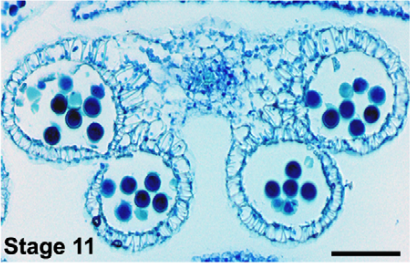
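This is a transverse section through an anther with four locules arranged around a central connective. Each locule holds several round pollen grains that stain densely dark blue and are of fairly uniform size. The locule wall is made of a layer of enlarged, pale cells on the outside. In the middle of the connective lies a small, darker vascular strand. The grains lie free within the open locule space.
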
